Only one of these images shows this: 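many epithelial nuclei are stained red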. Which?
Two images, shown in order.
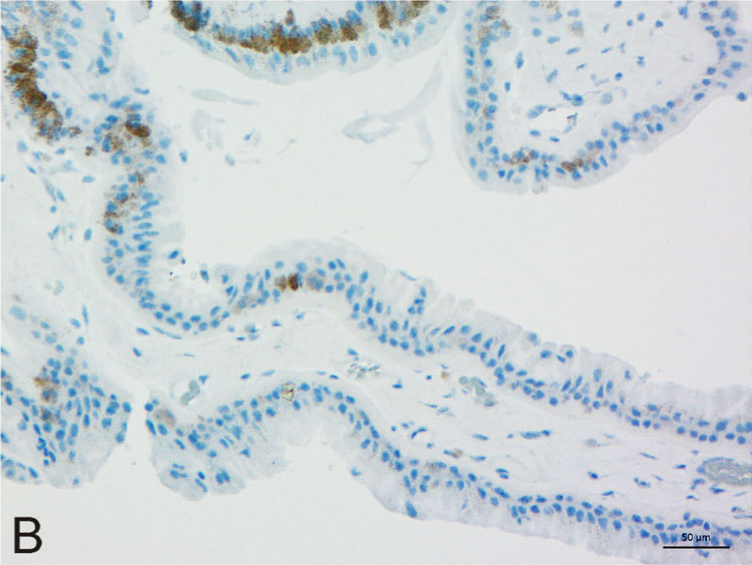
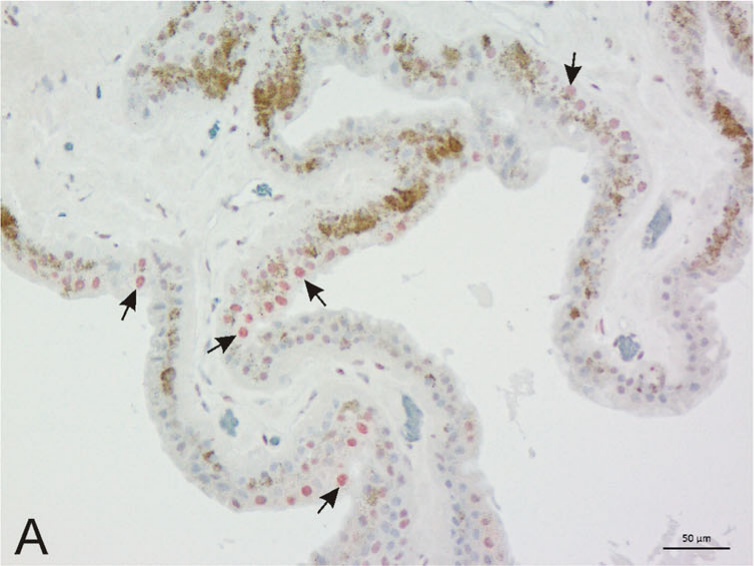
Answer: The second image.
